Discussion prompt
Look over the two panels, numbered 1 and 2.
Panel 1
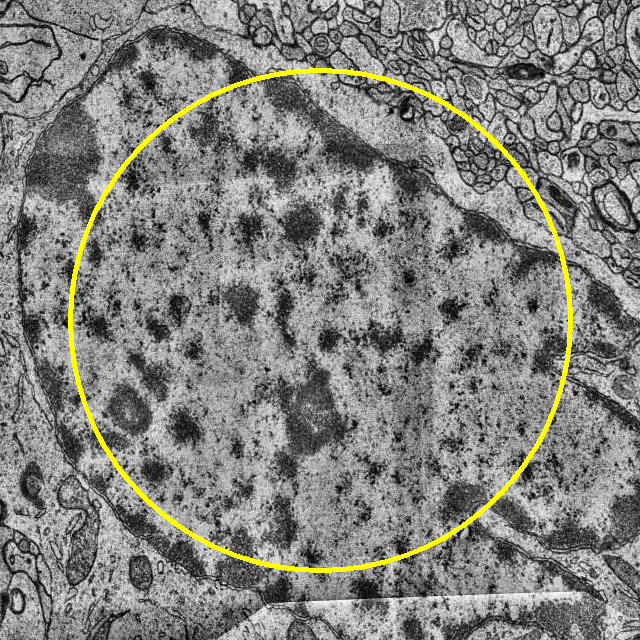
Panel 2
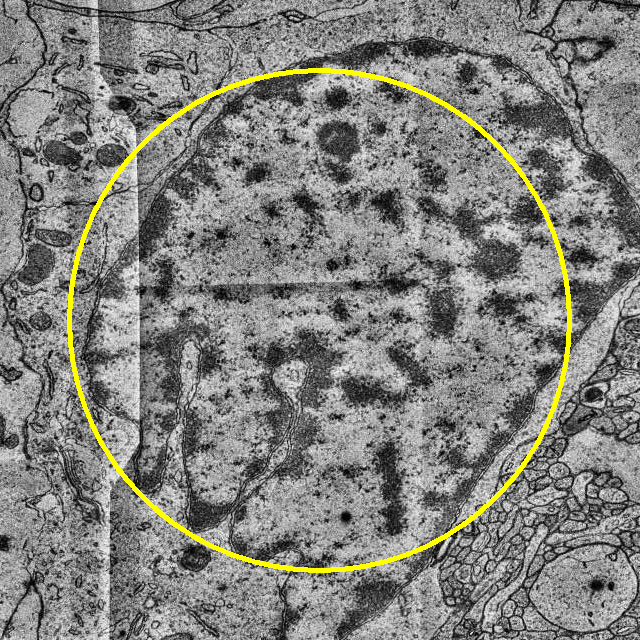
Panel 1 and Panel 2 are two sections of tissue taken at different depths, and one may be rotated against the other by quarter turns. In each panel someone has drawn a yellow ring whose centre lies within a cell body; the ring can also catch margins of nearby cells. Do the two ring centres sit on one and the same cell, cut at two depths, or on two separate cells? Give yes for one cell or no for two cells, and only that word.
yes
